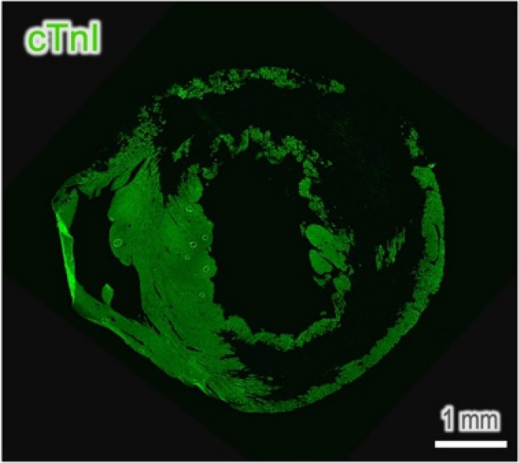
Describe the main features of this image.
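This is a transverse section through a heart, showing the myocardium of the ventricular wall as a green-stained ring around a large dark central cavity. The wall is thick and densely stained on the left side. Rounded green muscle bundles project into the cavity on the right. At the far left there is a thin, brightly stained band of tissue at the edge of the section. The green signal is confined to muscle tissue, and the dark areas are unstained.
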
